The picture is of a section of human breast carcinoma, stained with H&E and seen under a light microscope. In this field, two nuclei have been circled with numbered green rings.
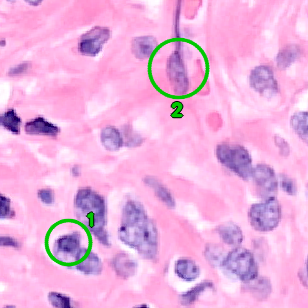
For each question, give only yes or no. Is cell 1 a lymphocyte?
yes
